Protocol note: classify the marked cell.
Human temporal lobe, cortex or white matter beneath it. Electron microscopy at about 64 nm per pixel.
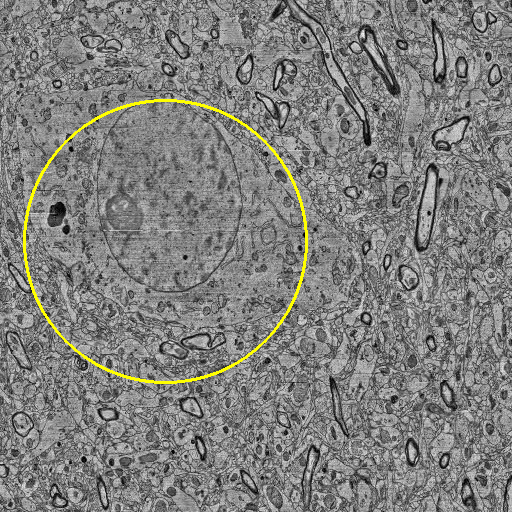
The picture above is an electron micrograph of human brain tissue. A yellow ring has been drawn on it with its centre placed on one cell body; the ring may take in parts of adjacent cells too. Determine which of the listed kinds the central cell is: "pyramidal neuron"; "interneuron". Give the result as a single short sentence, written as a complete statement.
The central cell is a pyramidal neuron.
